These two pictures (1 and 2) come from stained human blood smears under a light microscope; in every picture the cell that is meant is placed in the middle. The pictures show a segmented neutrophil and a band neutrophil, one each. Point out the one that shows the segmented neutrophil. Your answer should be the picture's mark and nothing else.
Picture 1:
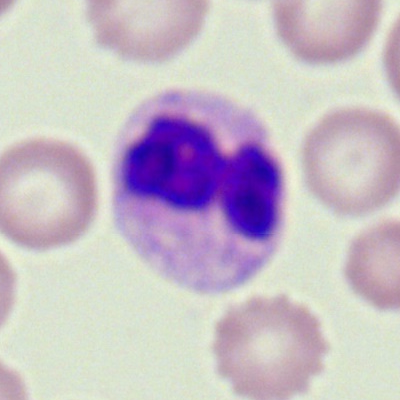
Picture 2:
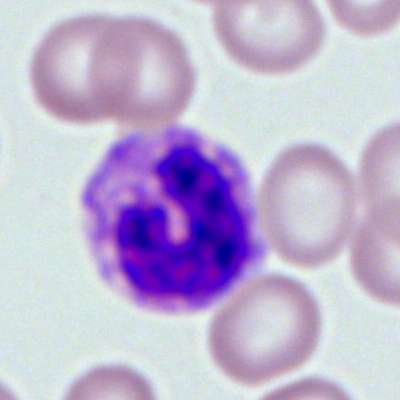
1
